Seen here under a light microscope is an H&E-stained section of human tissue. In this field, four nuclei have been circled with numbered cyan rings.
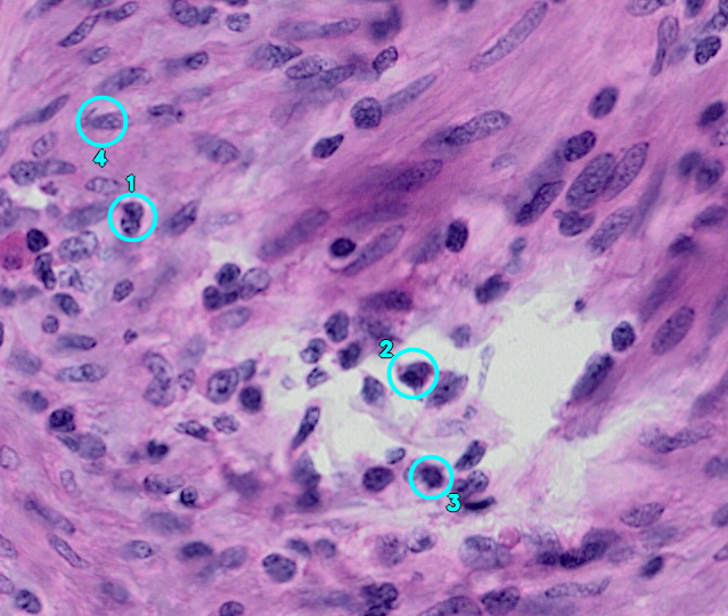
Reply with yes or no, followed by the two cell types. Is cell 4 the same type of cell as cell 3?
No, cell 4 is a smooth muscle cell, and in contrast cell 3 is a lymphocyte.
